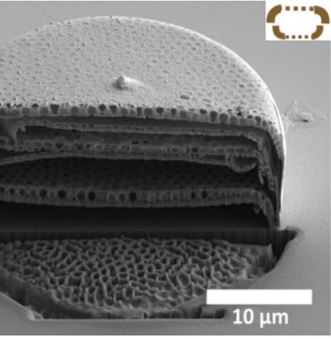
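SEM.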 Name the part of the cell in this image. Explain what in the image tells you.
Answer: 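A disc-shaped shell with a finely perforated top surface. A porous, honeycomb-like inner wall is exposed at the bottom of the cut.
Conclusion: frustules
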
